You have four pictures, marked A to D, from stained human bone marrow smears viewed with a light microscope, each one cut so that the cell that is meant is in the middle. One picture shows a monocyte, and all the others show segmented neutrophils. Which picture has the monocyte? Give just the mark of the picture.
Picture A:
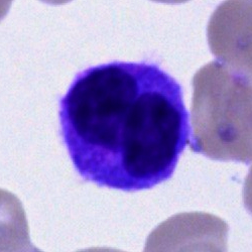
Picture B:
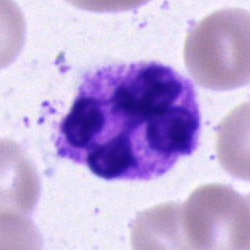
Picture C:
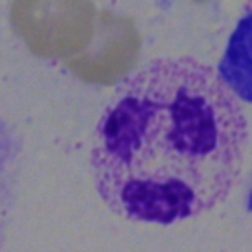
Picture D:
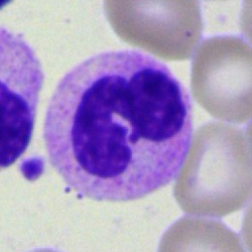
A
